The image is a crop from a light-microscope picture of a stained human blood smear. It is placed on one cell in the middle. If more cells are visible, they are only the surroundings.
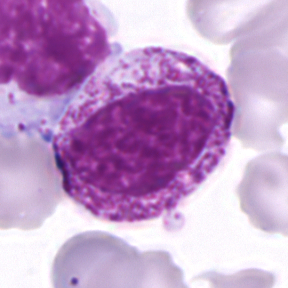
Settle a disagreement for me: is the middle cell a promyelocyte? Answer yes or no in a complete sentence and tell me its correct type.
No, that is not a promyelocyte; the middle cell is a myelocyte.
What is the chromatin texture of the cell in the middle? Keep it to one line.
Check the chromatin: it is fine and not coarsely clumped.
